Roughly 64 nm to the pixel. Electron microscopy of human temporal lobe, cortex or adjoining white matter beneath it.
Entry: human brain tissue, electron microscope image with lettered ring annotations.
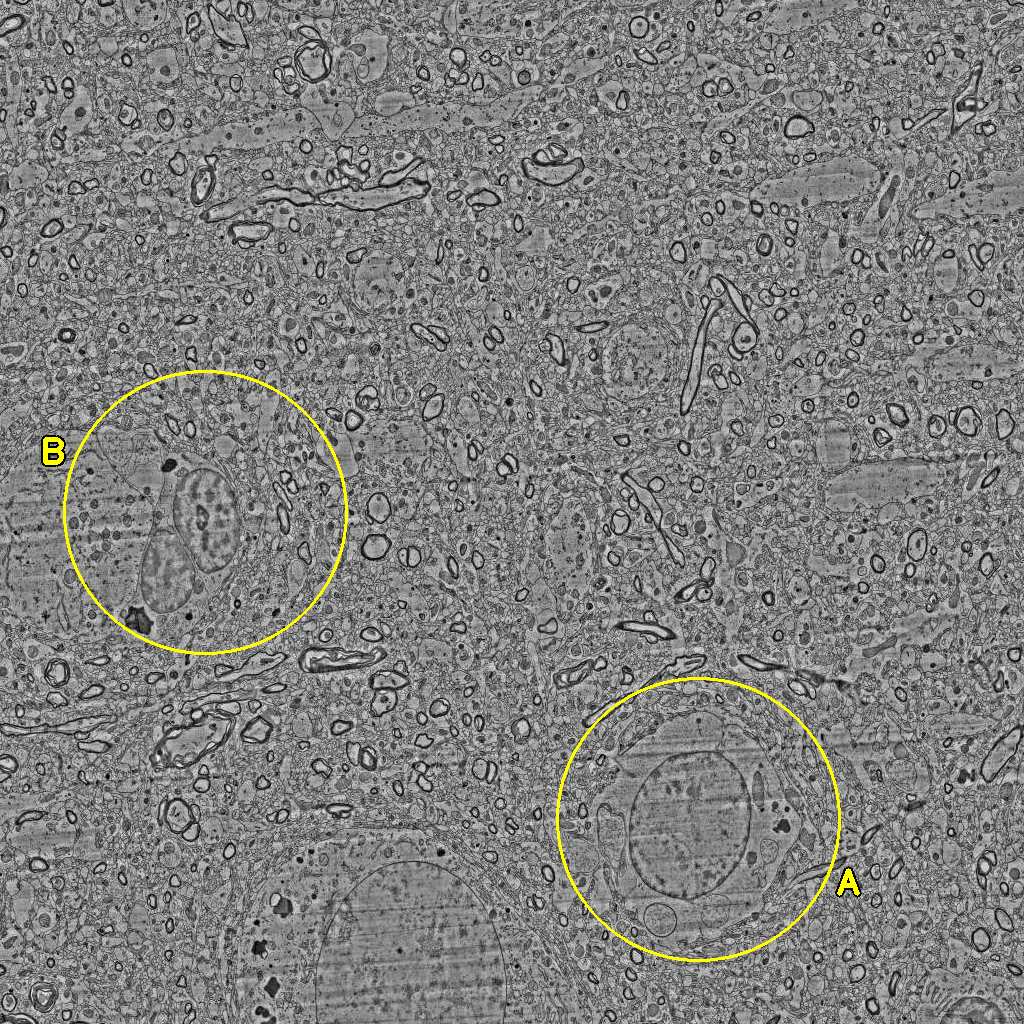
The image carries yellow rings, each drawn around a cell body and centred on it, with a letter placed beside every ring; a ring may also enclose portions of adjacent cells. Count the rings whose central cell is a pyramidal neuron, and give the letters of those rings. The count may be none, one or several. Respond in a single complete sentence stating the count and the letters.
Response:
The count is zero, given that no ring here is centred on a pyramidal neuron.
